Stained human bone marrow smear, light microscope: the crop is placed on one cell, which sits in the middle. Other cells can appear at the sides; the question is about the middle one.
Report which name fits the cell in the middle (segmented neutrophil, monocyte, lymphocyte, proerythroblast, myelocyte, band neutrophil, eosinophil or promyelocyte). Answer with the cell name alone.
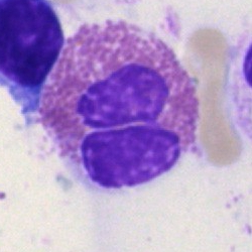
eosinophil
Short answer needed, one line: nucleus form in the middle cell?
This cell has a nucleus made up of two or more segments.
